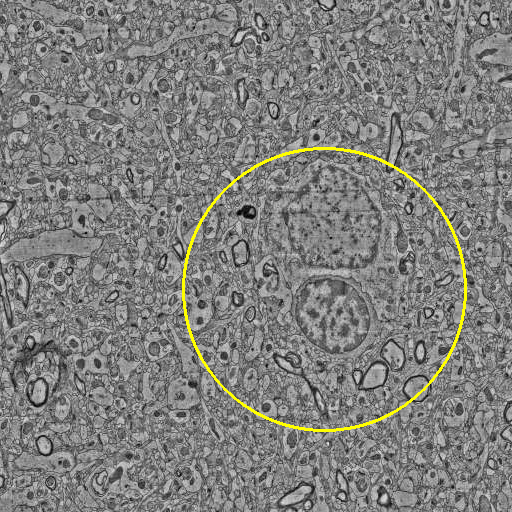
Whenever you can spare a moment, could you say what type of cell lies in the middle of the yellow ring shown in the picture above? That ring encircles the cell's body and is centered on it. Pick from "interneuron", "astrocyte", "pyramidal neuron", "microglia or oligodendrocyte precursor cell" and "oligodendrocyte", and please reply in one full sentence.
The cell whose body sits at the middle of the yellow ring is an oligodendrocyte.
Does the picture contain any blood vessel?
No, a blood vessel is absent from this picture.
